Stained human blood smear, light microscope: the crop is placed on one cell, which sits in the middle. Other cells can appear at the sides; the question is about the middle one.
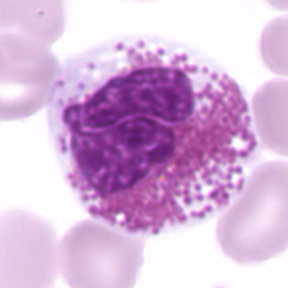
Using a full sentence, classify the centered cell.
In this crop, the cell at the very middle is an eosinophil.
